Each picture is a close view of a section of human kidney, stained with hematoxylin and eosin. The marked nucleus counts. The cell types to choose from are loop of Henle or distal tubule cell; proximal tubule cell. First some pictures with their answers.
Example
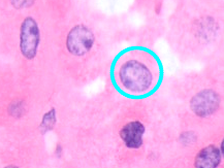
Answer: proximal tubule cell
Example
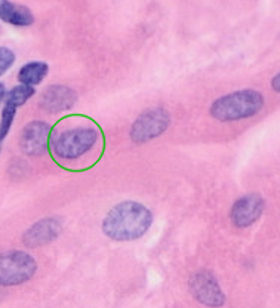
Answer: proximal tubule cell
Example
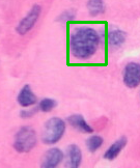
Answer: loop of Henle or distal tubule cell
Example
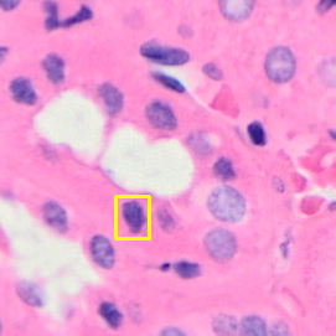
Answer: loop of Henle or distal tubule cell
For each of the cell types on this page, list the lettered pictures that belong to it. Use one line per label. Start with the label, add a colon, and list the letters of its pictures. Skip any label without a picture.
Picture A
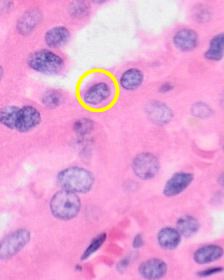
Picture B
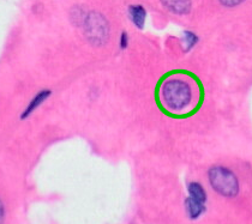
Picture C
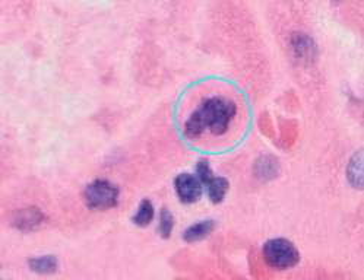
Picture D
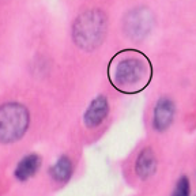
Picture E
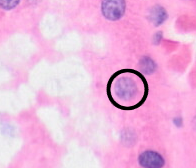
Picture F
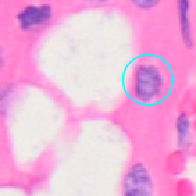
loop of Henle or distal tubule cell: A, D, F
proximal tubule cell: B, C, E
